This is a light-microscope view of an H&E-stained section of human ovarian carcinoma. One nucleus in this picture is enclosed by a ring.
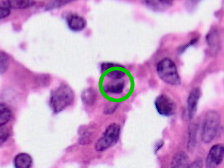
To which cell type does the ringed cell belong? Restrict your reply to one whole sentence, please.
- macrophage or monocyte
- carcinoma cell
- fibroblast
Histopathologically, the ringed cell is a macrophage or monocyte.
